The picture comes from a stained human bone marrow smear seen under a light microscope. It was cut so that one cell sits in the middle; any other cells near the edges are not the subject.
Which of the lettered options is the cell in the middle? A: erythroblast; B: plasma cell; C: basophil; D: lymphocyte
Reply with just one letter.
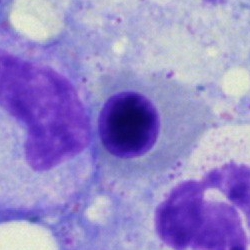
A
